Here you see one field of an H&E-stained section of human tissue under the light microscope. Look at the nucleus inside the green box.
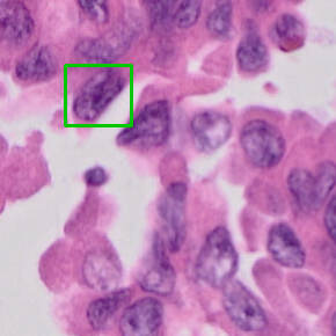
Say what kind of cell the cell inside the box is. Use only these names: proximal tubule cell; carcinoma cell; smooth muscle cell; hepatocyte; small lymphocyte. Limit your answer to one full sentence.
In this section, the cell inside the box is a carcinoma cell.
